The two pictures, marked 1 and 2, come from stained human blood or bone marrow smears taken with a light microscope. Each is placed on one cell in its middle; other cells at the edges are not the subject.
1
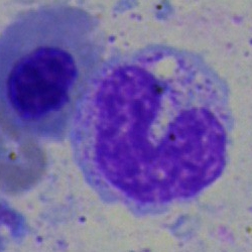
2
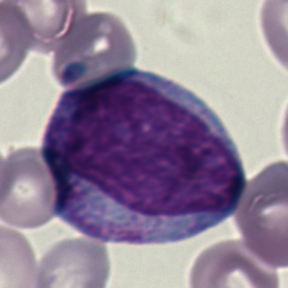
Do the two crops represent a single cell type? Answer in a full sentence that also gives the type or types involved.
No, crop 1 offers a monocyte, while crop 2 offers a promyelocyte.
